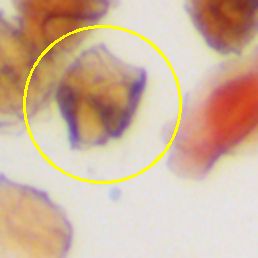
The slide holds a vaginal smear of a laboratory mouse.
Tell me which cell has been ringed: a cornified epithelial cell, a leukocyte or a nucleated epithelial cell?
It is a cornified epithelial cell.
